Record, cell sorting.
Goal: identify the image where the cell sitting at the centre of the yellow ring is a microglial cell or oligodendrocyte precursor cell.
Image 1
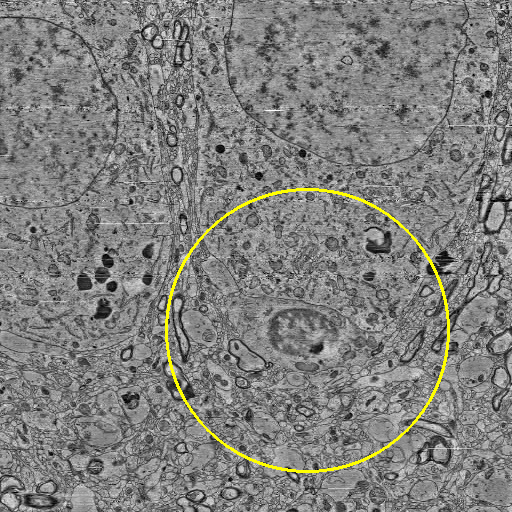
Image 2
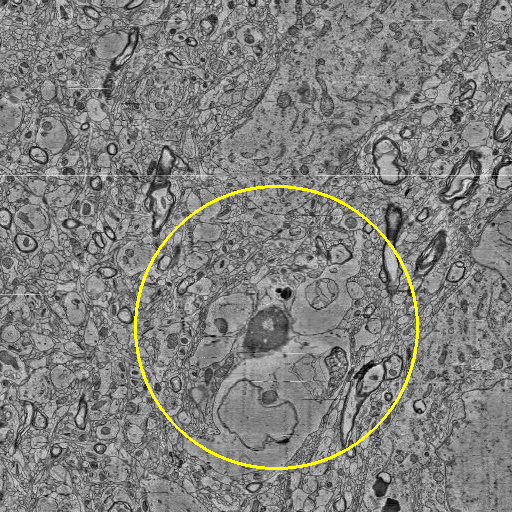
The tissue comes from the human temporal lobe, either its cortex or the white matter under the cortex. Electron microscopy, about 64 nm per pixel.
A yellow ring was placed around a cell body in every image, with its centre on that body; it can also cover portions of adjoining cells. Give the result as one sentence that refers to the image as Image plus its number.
Image 2 shows the requested cell sitting right at the centre of its ring.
